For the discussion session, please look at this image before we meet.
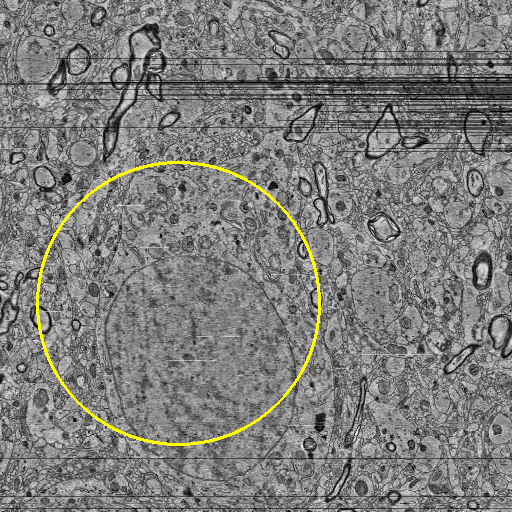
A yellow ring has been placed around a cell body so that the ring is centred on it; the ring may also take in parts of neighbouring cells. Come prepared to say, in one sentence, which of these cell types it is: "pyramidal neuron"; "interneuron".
The cell centred in the ring is an interneuron.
